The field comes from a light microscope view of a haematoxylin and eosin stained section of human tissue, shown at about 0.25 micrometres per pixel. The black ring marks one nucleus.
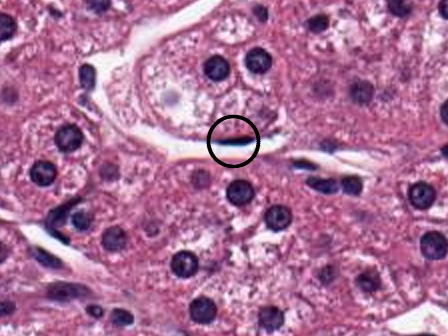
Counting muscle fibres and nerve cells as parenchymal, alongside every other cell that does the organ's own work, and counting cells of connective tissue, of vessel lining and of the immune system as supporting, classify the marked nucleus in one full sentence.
The marked nucleus is the nucleus of a supporting cell in this section.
